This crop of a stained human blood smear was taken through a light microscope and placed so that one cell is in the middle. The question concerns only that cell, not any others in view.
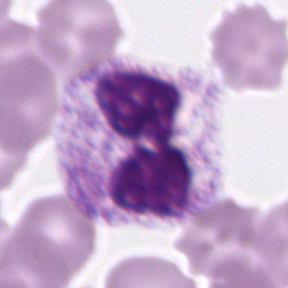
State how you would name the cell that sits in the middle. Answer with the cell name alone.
neutrophil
